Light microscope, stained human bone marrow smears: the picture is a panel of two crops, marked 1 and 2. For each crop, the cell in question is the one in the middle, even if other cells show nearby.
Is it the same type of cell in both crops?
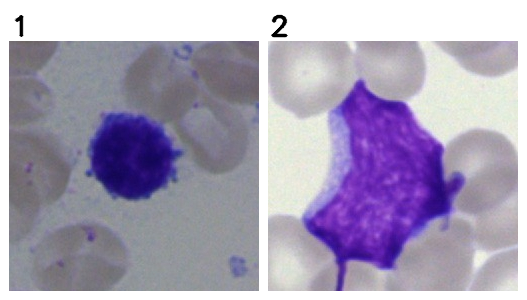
no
